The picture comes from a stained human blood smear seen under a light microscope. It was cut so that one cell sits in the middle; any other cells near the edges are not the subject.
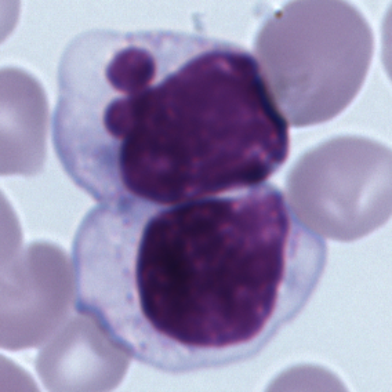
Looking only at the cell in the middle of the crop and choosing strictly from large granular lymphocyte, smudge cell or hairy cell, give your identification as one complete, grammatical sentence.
The central element of this crop is a cell, namely a large granular lymphocyte.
